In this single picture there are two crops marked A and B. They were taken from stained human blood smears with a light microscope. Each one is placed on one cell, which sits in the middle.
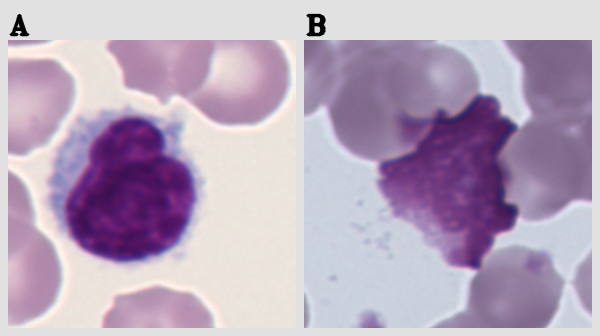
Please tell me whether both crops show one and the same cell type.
no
